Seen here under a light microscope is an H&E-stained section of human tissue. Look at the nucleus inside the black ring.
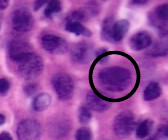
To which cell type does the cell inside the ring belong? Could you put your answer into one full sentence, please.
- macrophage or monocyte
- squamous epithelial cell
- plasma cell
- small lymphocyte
In cellular terms, the cell inside the ring is a squamous epithelial cell.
